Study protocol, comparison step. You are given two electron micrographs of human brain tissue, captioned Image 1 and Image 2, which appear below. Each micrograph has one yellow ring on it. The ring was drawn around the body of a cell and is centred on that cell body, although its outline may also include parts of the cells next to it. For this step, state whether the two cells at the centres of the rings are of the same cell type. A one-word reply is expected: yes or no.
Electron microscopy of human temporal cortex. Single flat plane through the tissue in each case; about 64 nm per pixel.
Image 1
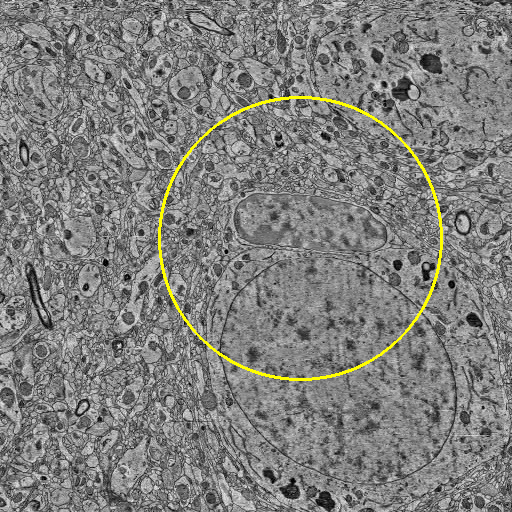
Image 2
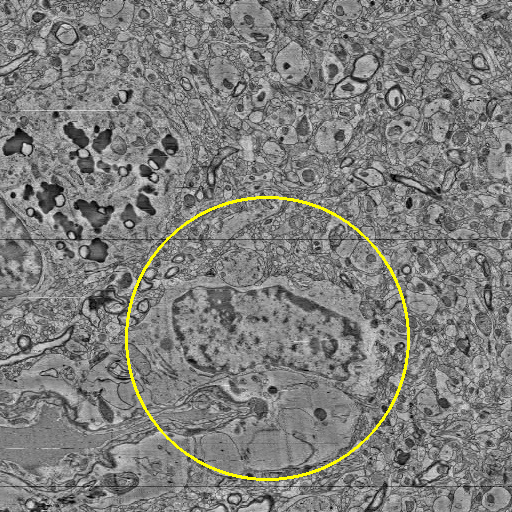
yes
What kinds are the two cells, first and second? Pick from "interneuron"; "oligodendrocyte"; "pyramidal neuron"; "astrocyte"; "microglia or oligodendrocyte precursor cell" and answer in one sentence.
Each of the ringed cells, first and second, is a microglial cell or oligodendrocyte precursor cell.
